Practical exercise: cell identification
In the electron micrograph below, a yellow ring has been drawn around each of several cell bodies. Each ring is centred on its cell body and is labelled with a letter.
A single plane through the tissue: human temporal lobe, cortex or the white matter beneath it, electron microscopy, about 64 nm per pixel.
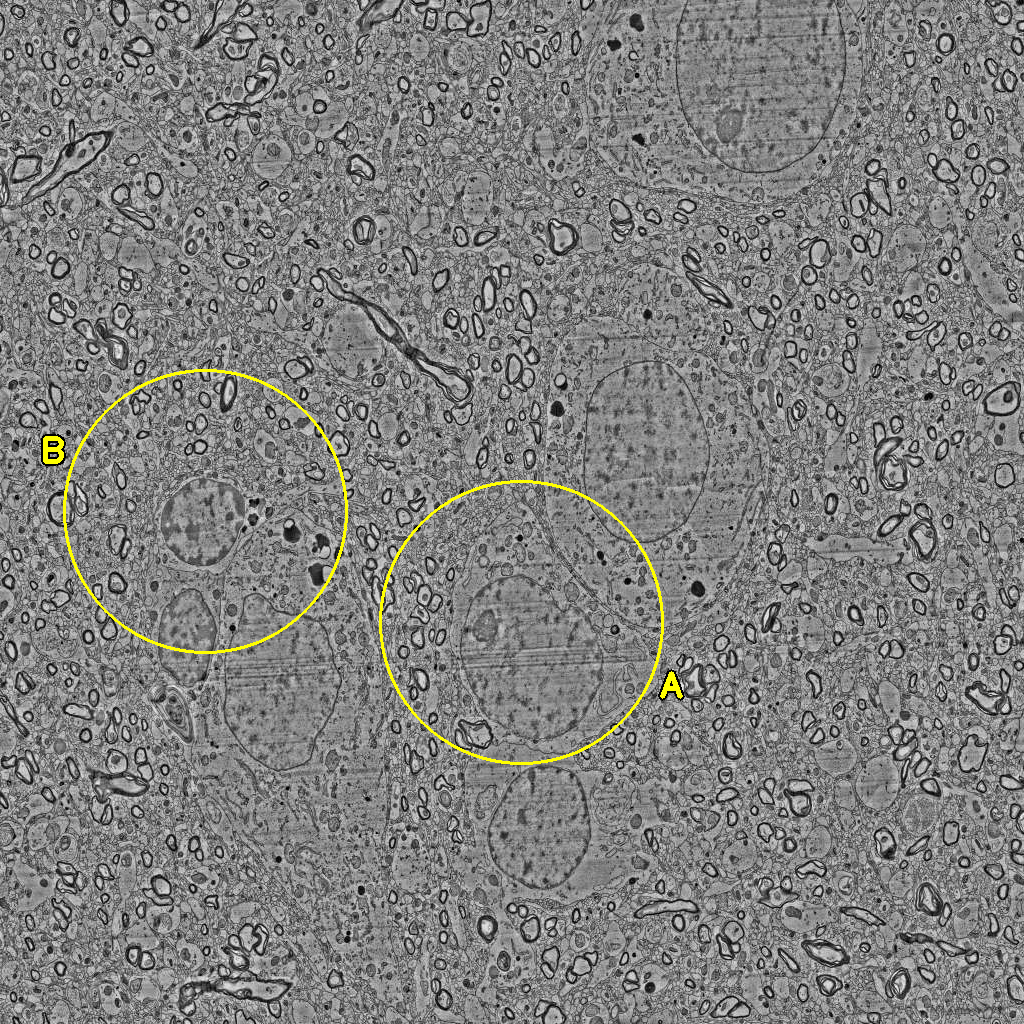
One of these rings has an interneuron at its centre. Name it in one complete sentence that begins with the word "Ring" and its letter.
Ring A has that cell at its centre.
